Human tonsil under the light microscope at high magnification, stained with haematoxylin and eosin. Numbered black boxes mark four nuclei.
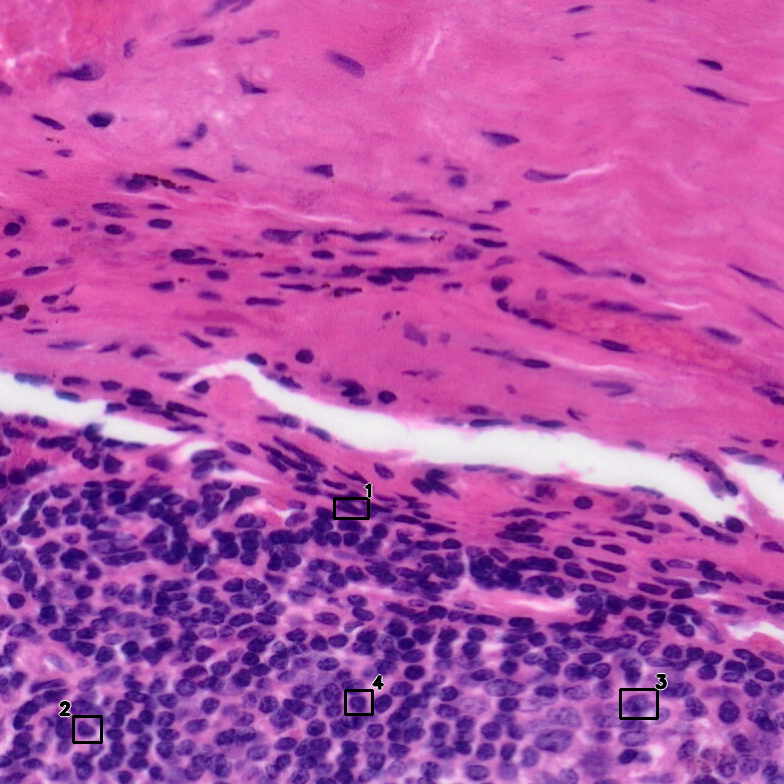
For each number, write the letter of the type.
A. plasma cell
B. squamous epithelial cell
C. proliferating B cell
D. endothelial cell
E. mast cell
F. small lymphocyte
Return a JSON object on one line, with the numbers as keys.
{"1": "F", "2": "F", "3": "C", "4": "F"}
